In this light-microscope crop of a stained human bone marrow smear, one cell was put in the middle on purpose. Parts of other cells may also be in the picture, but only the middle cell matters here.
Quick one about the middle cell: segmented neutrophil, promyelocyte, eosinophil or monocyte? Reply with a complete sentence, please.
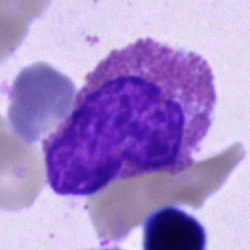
This particular crop is centered on an eosinophil.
